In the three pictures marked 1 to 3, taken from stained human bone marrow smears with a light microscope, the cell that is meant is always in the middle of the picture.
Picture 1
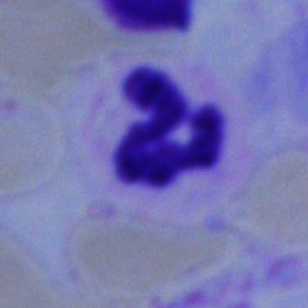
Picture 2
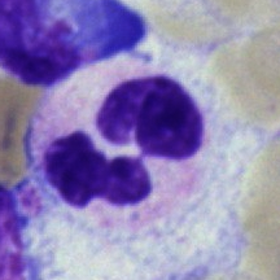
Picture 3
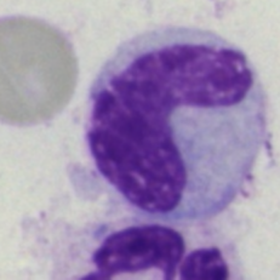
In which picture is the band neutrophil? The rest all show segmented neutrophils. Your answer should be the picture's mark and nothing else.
3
